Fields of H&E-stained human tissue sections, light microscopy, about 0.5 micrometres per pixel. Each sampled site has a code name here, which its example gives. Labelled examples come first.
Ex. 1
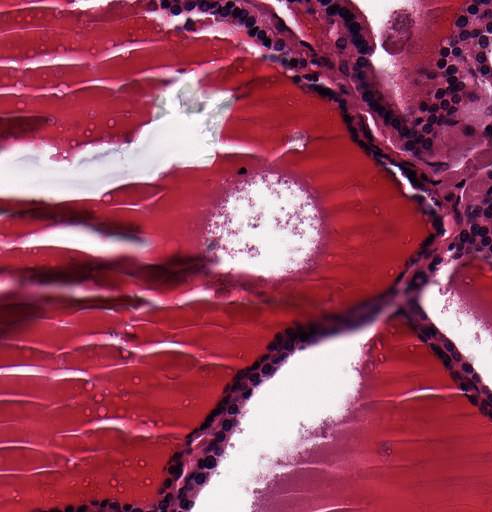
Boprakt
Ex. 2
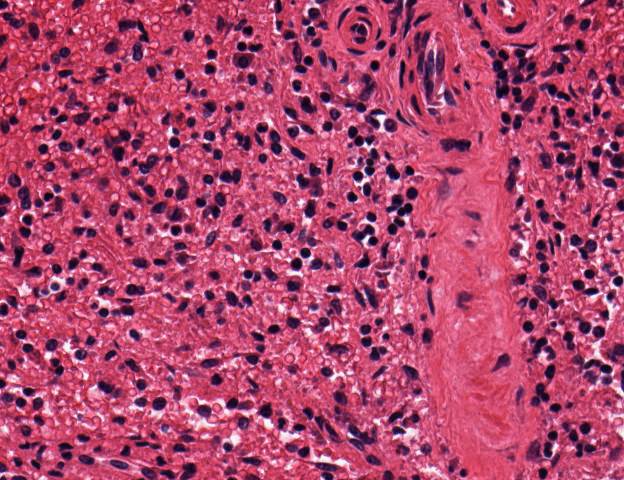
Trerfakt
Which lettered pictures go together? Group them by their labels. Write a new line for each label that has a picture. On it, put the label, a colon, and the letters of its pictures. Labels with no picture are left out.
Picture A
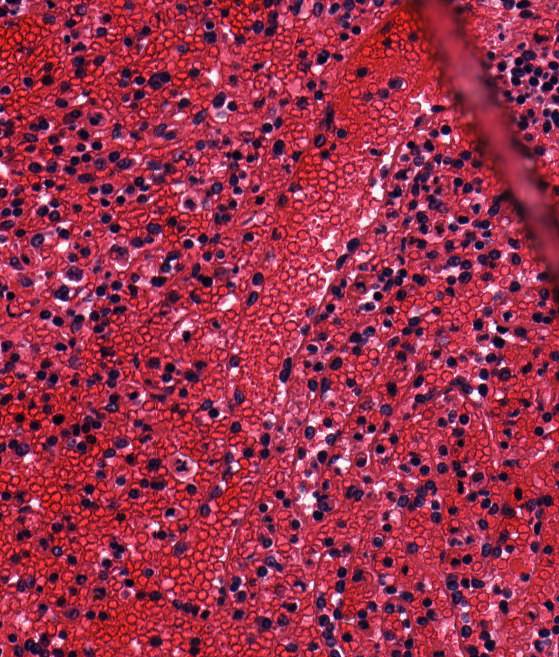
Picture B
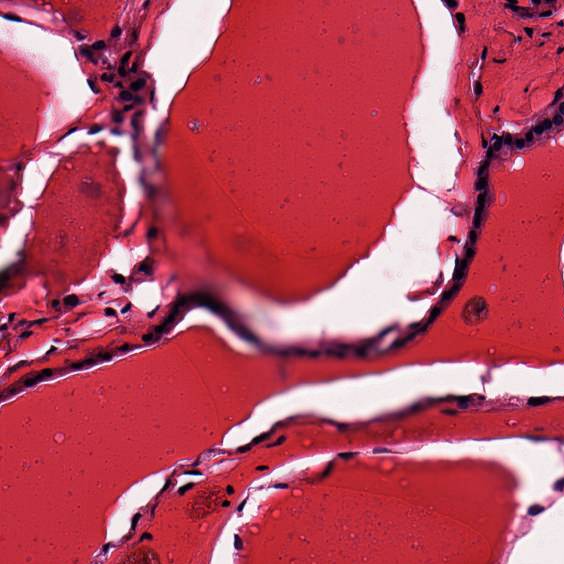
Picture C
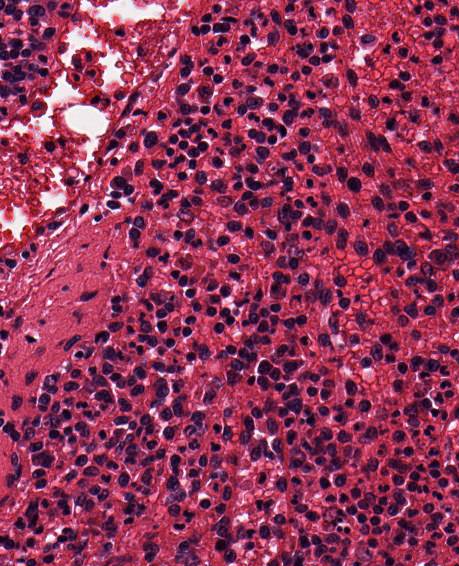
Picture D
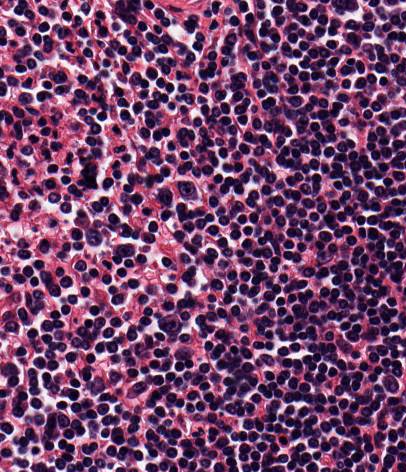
Boprakt: B
Trerfakt: A, C, D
